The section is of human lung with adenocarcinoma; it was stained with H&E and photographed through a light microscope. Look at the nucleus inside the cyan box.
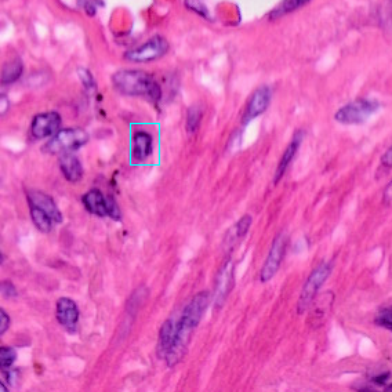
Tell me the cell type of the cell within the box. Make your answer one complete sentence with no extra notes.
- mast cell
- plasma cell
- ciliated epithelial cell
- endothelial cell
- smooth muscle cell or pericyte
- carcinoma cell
As classified here, the cell within the box is a plasma cell.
